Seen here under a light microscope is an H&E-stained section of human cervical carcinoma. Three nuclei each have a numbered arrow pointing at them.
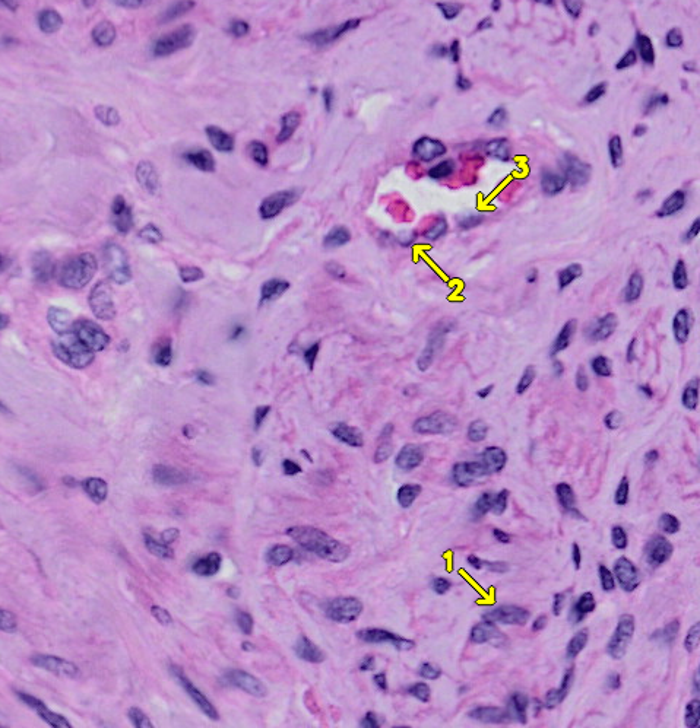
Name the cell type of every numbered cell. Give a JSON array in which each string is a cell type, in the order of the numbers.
["smooth muscle cell", "endothelial cell", "endothelial cell"]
